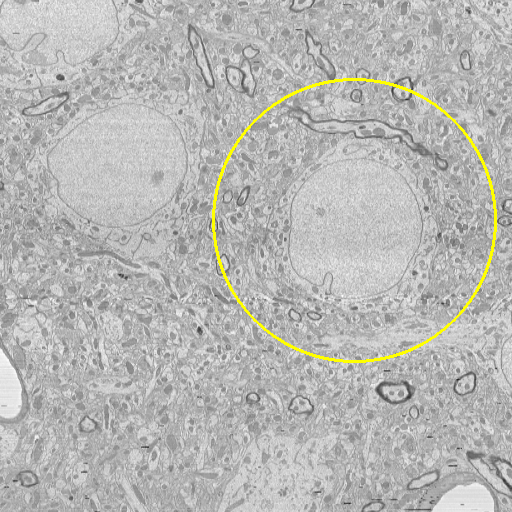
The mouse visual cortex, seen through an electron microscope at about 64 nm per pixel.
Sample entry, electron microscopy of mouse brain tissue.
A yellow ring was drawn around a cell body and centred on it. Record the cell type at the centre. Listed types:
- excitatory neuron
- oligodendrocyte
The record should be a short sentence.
The cell at the ring's centre is an excitatory neuron.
